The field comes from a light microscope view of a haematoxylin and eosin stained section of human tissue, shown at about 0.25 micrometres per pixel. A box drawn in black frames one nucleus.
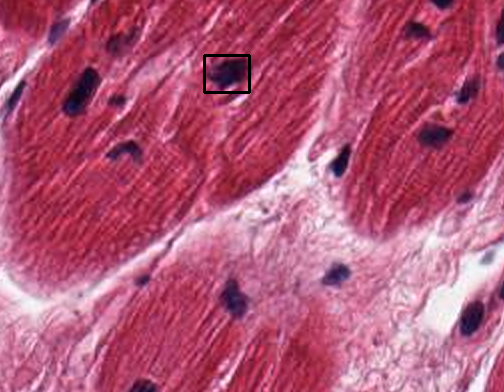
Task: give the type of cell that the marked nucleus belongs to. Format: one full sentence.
As shown, the marked nucleus belongs to a cardiomyocyte.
